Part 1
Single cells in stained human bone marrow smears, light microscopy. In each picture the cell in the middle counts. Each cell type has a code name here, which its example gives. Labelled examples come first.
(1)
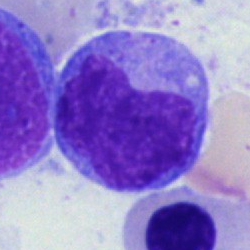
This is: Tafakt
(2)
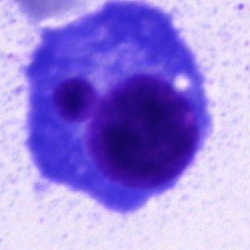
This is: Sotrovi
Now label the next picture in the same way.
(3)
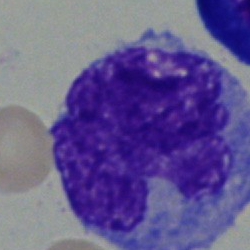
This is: Tafakt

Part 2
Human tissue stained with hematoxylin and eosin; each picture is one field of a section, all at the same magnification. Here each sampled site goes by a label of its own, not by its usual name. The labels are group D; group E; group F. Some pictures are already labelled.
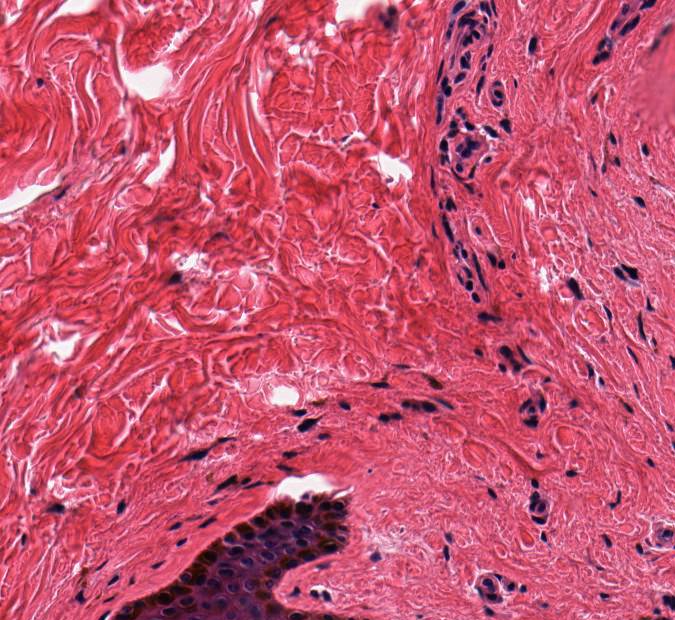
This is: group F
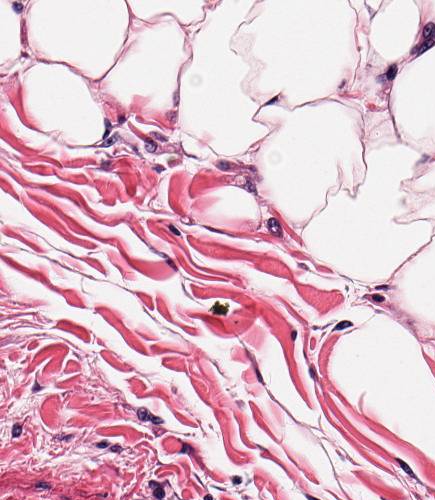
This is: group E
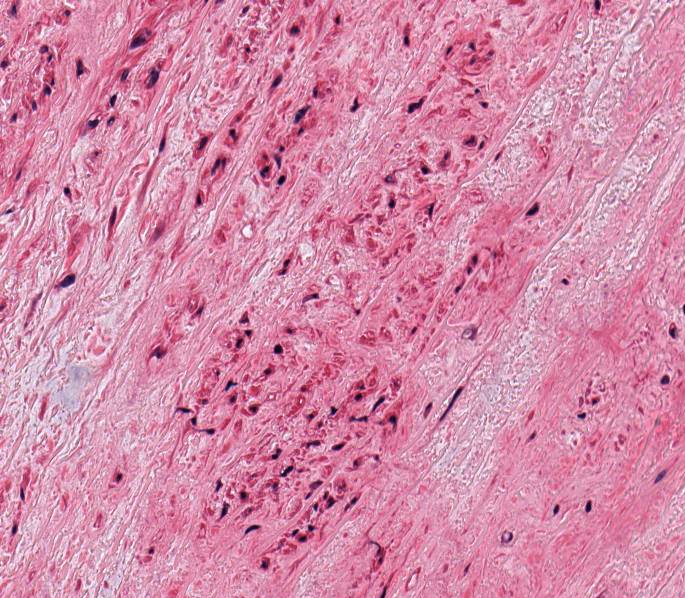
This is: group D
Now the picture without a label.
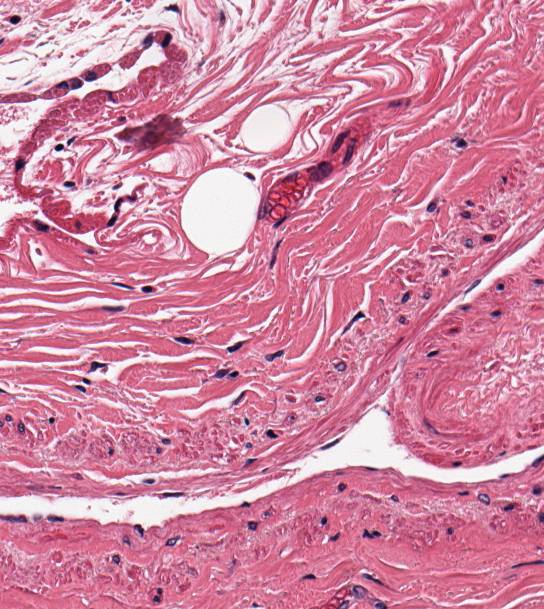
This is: group E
